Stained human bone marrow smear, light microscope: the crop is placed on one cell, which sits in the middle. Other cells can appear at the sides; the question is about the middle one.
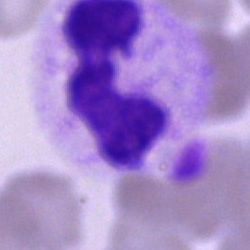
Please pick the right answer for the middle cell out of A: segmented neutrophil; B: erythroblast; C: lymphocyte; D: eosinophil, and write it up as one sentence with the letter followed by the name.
Given that the cell in the middle is a segmented neutrophil, option A is correct.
